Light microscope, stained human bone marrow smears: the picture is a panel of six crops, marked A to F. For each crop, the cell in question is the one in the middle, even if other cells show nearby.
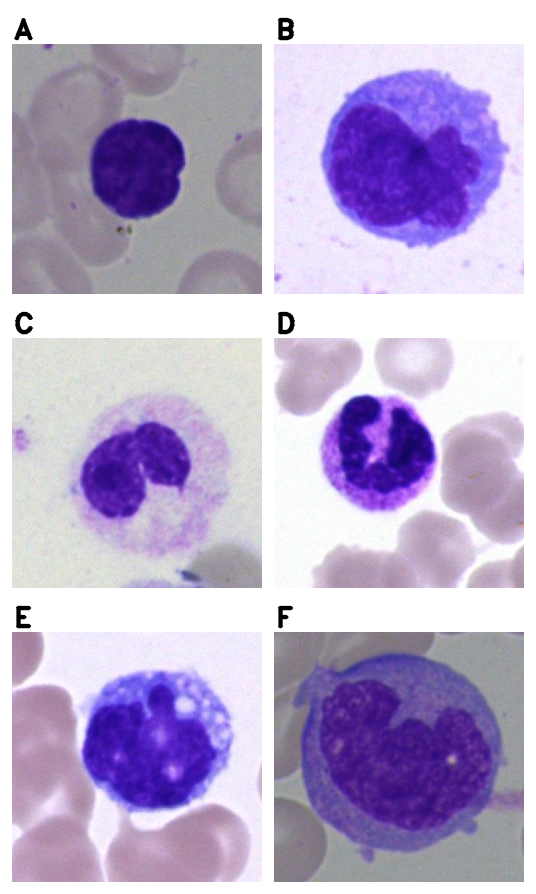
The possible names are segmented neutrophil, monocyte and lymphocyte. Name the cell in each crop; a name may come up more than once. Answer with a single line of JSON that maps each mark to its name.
{"A": "lymphocyte", "B": "monocyte", "C": "segmented neutrophil", "D": "segmented neutrophil", "E": "monocyte", "F": "monocyte"}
